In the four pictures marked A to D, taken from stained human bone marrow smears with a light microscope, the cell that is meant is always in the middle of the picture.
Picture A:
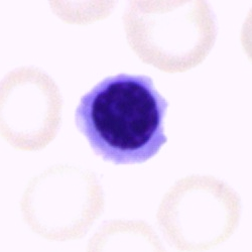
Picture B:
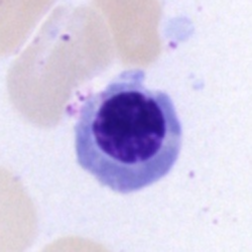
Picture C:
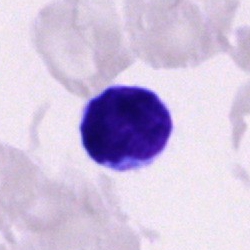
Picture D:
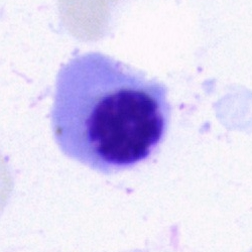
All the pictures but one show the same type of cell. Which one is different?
C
